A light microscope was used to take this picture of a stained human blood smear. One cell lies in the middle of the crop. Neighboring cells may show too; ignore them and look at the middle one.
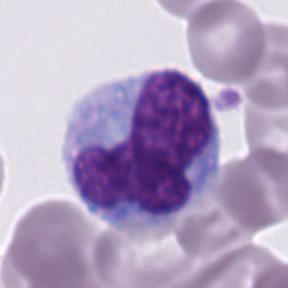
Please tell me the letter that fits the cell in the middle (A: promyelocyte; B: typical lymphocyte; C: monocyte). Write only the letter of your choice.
C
